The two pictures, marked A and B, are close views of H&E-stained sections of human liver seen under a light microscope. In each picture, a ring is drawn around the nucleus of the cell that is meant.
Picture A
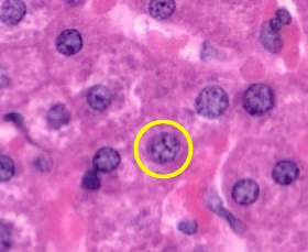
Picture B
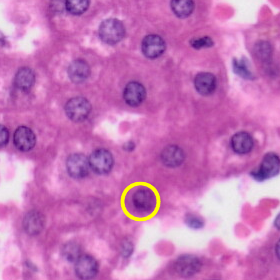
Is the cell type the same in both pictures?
yes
